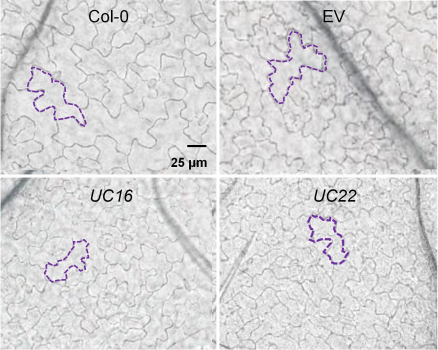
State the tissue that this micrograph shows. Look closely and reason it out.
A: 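Epidermis. A single flat layer of tightly interlocking cells with no gaps between them. Cell outlines are wavy, giving jigsaw-puzzle shapes. No chloroplast-filled cells appear in this layer.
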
